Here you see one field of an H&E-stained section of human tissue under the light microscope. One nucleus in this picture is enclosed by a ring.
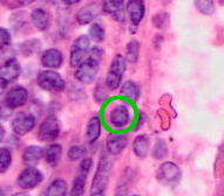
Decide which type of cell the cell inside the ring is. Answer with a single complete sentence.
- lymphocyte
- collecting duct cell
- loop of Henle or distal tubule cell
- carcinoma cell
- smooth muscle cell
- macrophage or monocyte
Histopathologically, the cell inside the ring is a lymphocyte.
